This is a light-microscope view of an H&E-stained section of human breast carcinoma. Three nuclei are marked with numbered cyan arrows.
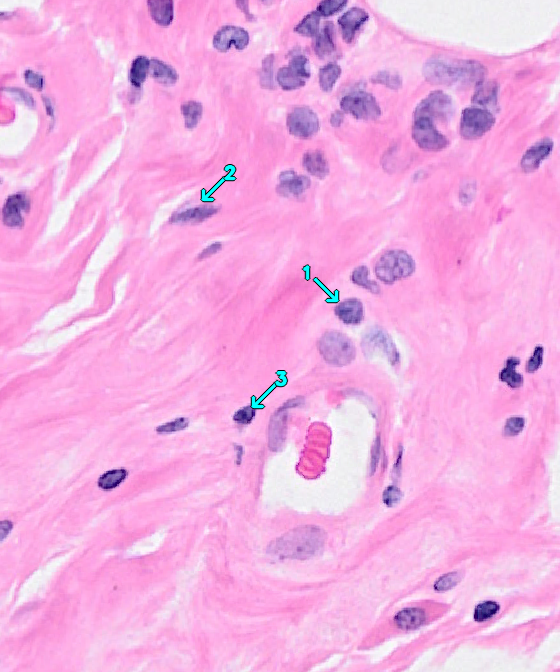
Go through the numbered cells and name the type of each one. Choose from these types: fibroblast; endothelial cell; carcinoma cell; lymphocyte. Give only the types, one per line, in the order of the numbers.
lymphocyte
fibroblast
lymphocyte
